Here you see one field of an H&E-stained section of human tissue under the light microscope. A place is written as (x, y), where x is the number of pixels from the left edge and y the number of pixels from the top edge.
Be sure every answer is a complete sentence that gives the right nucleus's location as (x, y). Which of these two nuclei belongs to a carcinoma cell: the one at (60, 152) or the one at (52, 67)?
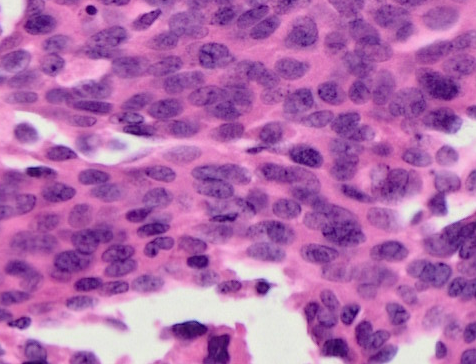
Only the nucleus at (60, 152), of the two, belongs to a carcinoma cell.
